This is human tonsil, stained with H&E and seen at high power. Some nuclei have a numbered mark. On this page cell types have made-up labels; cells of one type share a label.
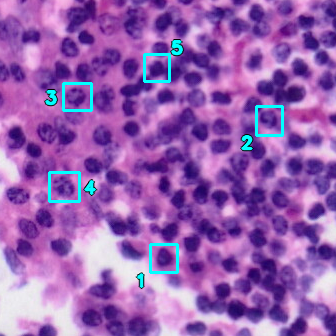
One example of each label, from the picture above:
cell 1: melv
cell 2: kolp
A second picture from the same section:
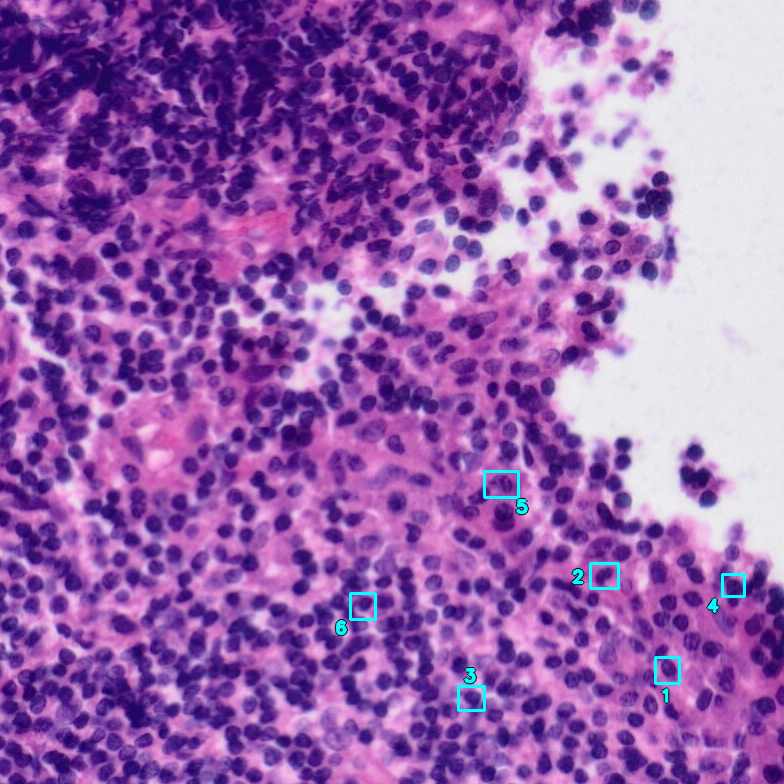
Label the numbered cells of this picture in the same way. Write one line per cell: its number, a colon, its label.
1: melv
2: melv
3: kolp
4: kolp
5: melv
6: kolp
